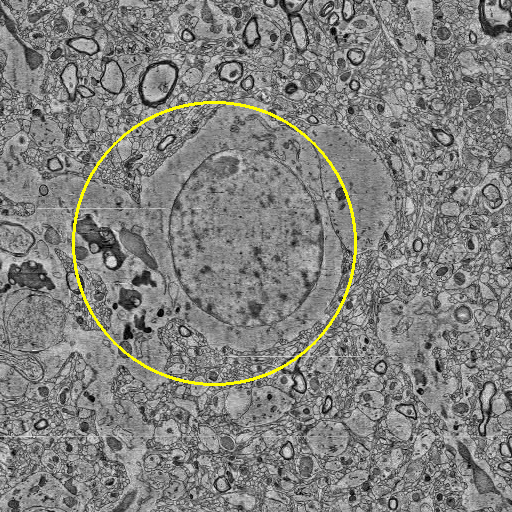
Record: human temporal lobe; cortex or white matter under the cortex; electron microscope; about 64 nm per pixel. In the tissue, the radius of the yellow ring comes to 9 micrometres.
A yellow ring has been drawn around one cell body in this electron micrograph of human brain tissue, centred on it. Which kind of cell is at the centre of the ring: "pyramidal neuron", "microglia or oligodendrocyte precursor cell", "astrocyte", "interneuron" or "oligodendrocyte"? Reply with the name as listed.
astrocyte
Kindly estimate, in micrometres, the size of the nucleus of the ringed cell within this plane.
In this plane the nucleus is about 12 micrometres by 10.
